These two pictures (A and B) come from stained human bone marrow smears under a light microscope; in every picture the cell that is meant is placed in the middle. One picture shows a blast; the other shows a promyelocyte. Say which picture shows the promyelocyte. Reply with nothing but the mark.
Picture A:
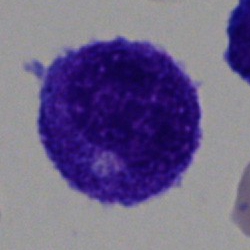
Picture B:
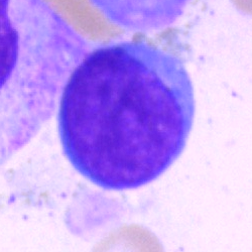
A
